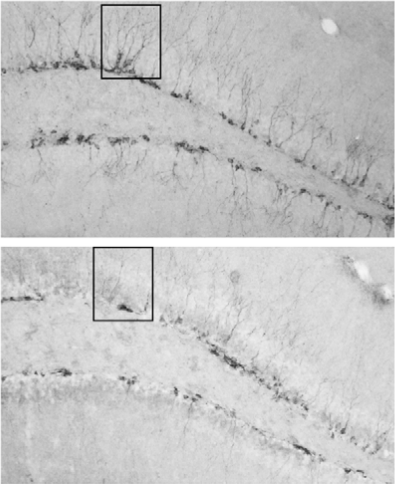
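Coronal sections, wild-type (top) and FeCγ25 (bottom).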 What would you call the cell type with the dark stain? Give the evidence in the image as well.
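Immature neurons. Darkly stained cell bodies sit along the inner border of the cell layer. Thin stained processes run radially outward from these cell bodies through the layer.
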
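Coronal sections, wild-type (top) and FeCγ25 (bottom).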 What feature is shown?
Supra- and infra-pyramidal blades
